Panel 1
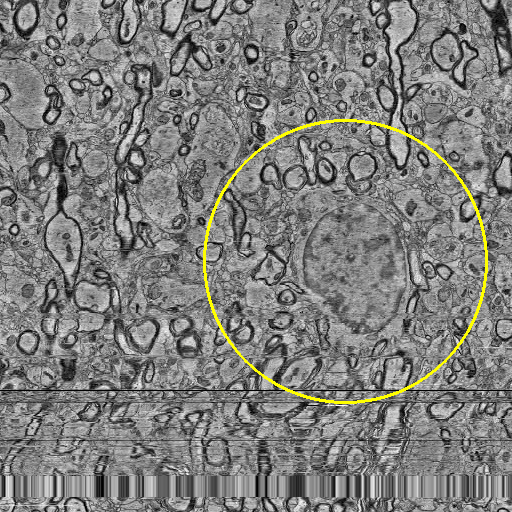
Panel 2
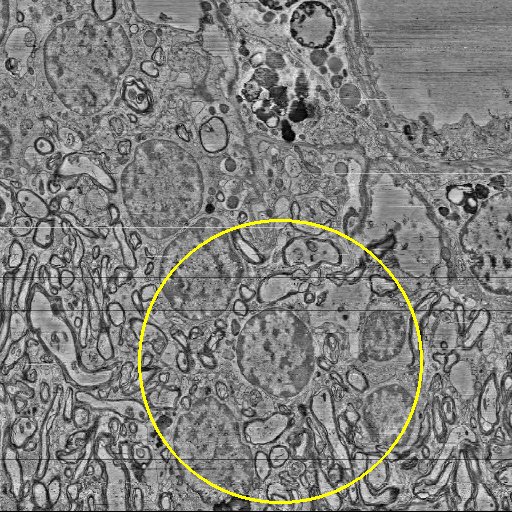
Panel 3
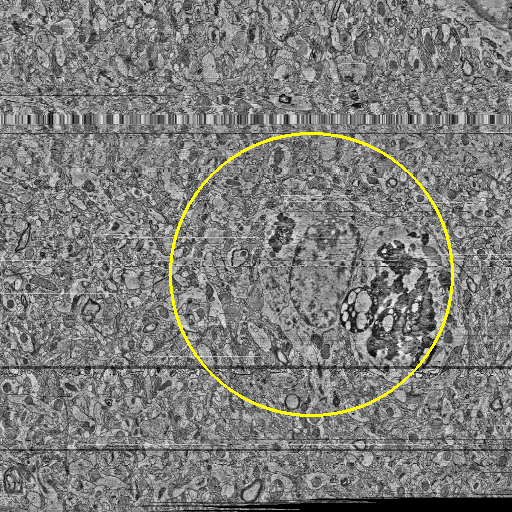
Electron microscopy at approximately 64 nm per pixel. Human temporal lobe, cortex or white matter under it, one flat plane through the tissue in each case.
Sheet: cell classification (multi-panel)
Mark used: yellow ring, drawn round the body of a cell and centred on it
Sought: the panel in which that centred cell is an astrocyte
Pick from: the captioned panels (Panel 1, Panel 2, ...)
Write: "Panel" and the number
Panel 3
